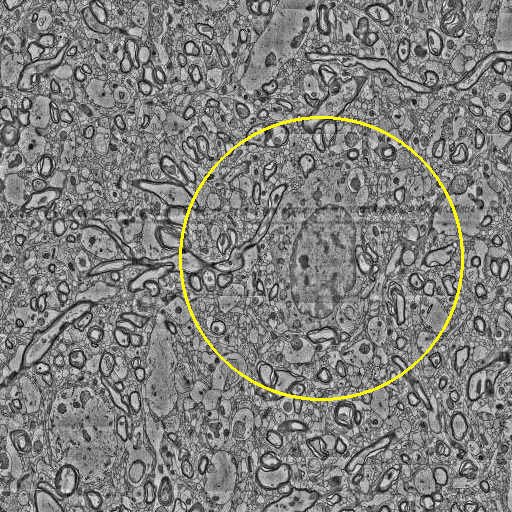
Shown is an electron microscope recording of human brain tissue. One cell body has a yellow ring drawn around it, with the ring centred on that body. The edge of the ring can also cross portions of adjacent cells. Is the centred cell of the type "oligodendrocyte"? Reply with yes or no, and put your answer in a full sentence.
Yes, in the picture, the cell on which the ring is centred has this type.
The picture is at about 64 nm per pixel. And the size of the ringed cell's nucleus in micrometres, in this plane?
The nucleus of the ringed cell is approximately 7 by 4 micrometres in this plane.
